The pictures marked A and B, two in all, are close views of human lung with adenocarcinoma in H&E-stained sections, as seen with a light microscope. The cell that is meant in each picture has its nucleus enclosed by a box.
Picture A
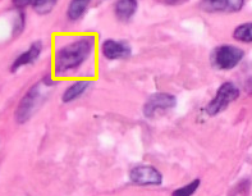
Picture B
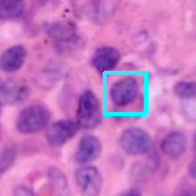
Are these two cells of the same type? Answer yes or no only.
yes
